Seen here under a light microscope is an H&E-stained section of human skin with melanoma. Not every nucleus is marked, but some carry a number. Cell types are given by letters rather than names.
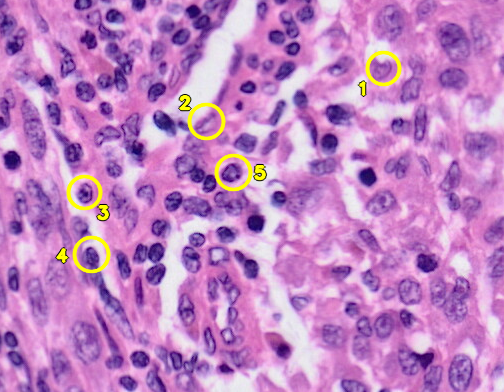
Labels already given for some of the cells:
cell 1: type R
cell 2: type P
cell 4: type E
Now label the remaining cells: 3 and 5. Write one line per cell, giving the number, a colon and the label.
3: type E
5: type E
